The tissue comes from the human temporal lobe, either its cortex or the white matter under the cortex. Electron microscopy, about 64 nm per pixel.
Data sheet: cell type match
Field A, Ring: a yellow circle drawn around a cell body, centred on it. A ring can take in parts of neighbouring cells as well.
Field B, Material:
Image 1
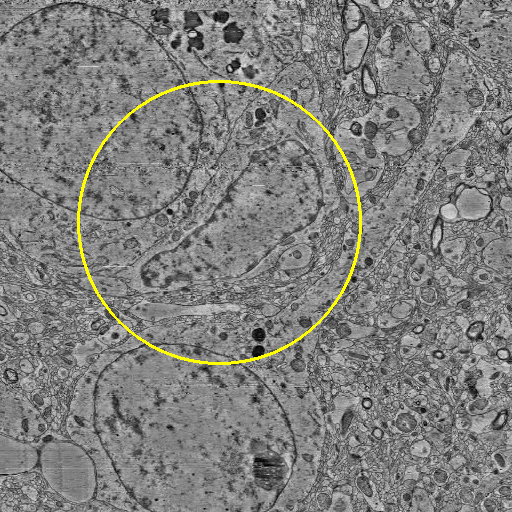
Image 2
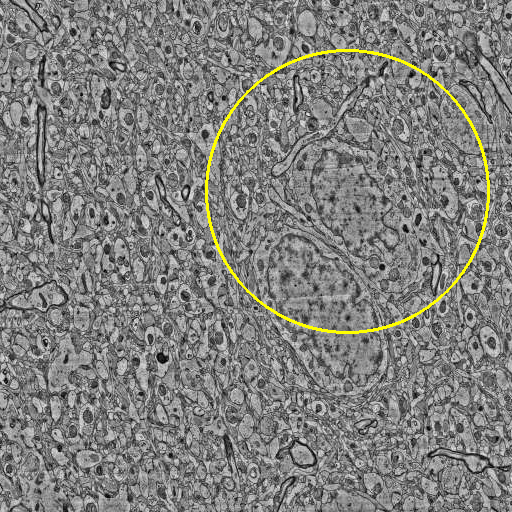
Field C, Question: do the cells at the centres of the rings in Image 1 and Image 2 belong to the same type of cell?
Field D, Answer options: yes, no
no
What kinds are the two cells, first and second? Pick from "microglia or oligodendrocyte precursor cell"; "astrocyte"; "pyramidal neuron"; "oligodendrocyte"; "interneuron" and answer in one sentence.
The second picture holds an interneuron in its ring, and the first holds a microglial cell or oligodendrocyte precursor cell.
